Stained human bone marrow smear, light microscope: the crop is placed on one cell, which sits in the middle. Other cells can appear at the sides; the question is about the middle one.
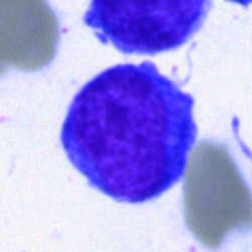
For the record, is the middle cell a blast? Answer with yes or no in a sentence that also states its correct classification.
Yes, the middle cell is properly termed a blast.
